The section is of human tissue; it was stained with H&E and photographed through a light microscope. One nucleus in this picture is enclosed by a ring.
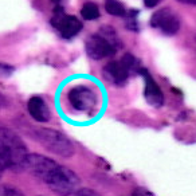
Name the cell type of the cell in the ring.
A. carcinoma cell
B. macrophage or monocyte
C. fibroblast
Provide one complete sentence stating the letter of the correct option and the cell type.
Option B describes the cell in the ring accurately as a macrophage or monocyte.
